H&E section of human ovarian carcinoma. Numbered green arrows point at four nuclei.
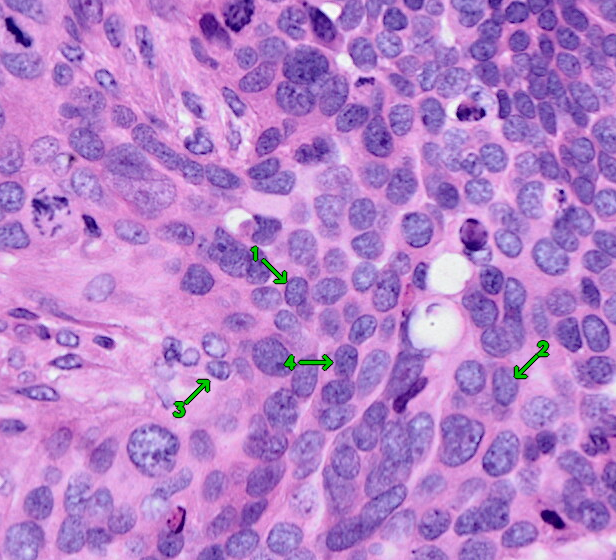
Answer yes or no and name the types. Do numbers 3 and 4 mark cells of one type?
No, cell 3 is a fibroblast, whereas cell 4, for its part, is a carcinoma cell.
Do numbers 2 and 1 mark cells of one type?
Yes, cells 2 and 1 both belong among the carcinoma cells.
